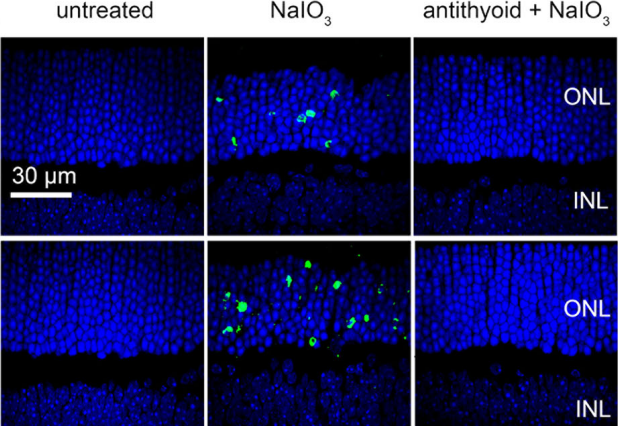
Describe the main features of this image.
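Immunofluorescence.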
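Cross-sections of retina show a thick upper band of densely packed, small, round blue nuclei, separated by a narrow dark gap from a thinner lower band of blue nuclei. In the middle column, scattered bright green spots lie among the nuclei of the thick upper band. In the other columns both bands show blue nuclei only, with no green spots.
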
